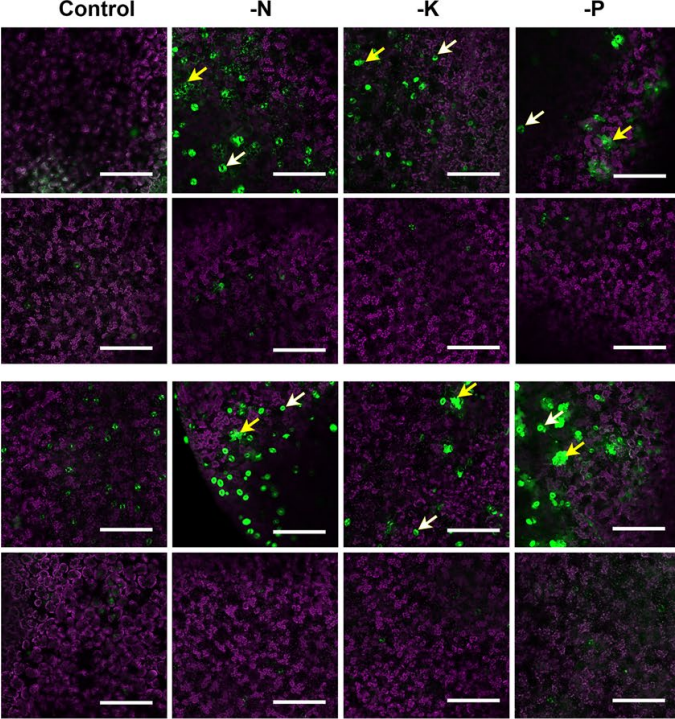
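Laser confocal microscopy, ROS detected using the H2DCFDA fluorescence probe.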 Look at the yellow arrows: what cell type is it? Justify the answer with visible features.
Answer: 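Leaf mesophyll cells. The yellow arrows point to larger, irregular green patches.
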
